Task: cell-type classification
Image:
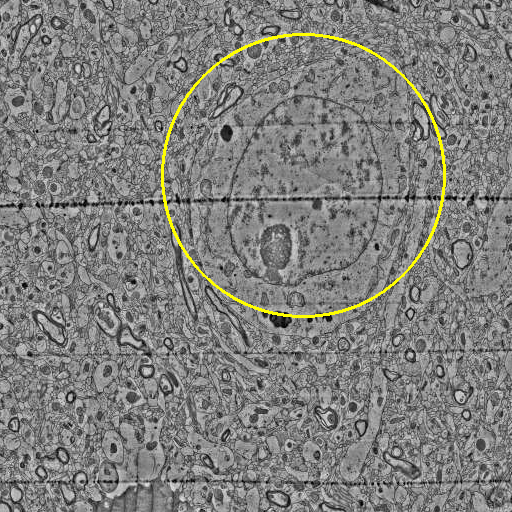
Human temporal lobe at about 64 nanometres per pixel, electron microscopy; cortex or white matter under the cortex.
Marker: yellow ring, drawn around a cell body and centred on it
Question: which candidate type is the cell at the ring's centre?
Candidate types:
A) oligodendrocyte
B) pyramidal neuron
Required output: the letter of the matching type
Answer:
B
